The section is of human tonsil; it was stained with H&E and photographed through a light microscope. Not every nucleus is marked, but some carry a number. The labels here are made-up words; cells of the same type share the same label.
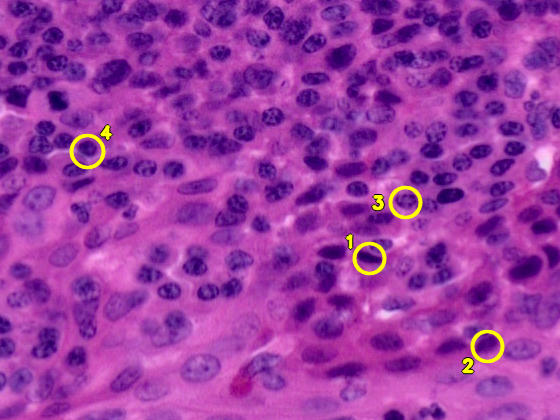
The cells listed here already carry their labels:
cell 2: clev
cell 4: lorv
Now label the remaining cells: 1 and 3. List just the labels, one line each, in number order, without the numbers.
clev
lorv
